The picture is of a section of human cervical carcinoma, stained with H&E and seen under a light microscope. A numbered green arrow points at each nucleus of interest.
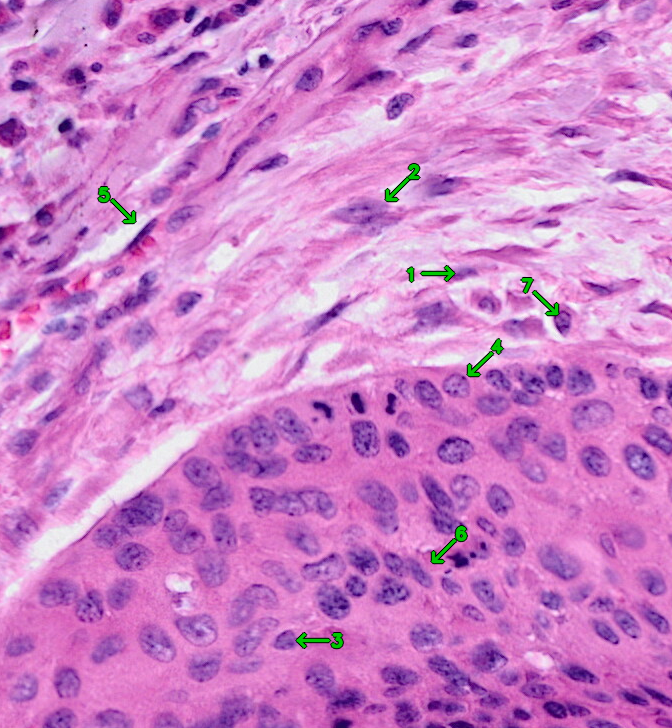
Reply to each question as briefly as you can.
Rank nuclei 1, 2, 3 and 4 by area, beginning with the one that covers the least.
1, 3, 4, 2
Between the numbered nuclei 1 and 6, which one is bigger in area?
6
